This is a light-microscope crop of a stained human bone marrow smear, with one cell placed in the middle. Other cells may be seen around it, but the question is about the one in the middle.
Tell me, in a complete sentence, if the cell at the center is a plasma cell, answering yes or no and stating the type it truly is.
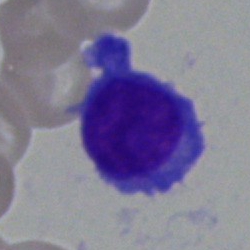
Yes, the middle cell of the field is a plasma cell.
